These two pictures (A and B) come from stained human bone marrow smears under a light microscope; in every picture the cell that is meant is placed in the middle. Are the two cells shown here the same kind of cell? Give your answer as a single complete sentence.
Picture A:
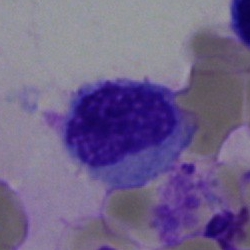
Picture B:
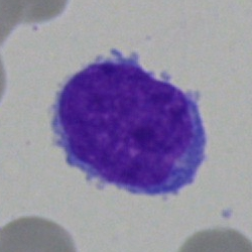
No, the types are not the same, since picture A shows a lymphocyte and picture B a blast.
